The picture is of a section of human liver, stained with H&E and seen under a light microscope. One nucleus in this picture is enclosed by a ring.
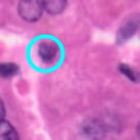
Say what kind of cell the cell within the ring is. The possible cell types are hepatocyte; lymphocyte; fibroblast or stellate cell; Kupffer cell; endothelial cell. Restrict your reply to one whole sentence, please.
By cell type, the cell within the ring is a fibroblast or stellate cell.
